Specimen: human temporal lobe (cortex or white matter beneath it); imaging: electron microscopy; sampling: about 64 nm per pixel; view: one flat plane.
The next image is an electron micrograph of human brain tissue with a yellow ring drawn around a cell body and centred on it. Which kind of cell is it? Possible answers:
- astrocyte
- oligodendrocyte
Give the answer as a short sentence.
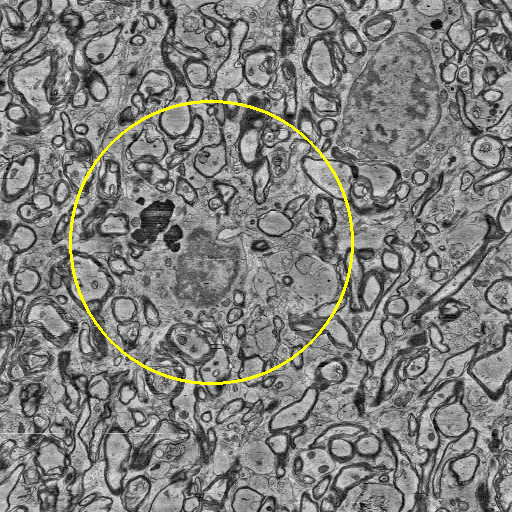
In the ring's centre is an oligodendrocyte.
